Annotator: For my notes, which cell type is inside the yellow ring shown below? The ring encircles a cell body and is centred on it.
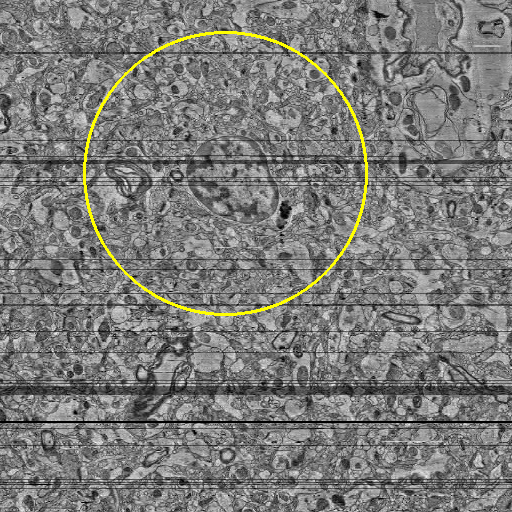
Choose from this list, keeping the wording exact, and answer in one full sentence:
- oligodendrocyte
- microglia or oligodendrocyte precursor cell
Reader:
At the centre of the yellow ring there is a microglial cell or oligodendrocyte precursor cell, as shown in the picture.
